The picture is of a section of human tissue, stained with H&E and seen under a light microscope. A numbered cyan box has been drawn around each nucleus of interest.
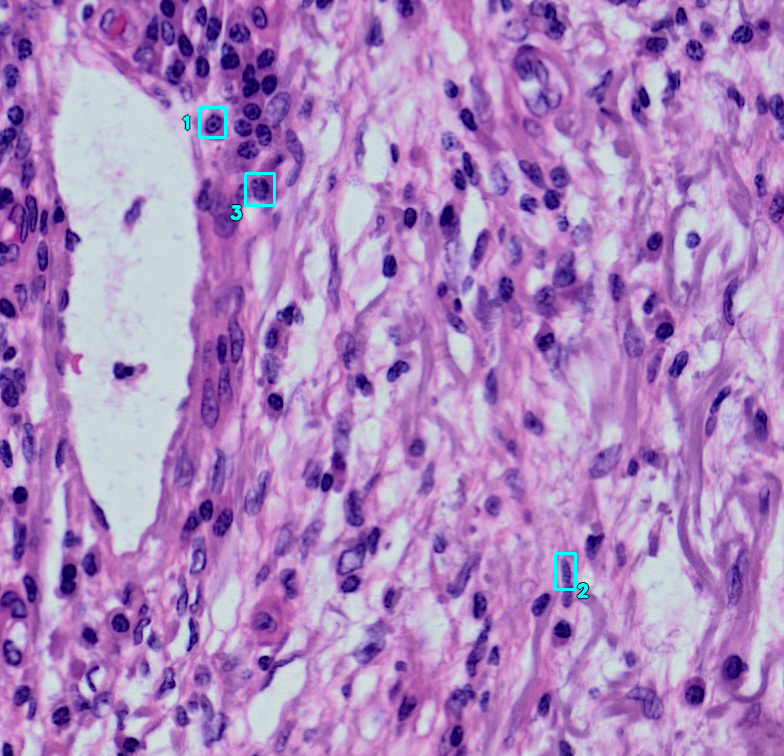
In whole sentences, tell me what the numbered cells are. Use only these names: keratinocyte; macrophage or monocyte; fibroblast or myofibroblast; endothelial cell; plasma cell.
Cell 1 is a plasma cell, cell 2 is a fibroblast or myofibroblast and cell 3 is a plasma cell.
